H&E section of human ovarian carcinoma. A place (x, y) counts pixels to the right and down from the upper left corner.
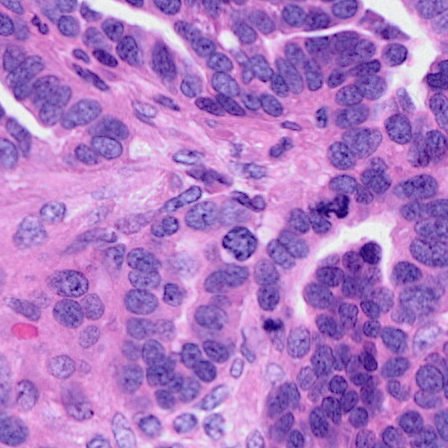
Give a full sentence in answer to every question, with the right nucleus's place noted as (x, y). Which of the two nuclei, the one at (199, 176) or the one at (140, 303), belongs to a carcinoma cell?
Answering which nucleus it is: the one at (140, 303), belonging to a carcinoma cell.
